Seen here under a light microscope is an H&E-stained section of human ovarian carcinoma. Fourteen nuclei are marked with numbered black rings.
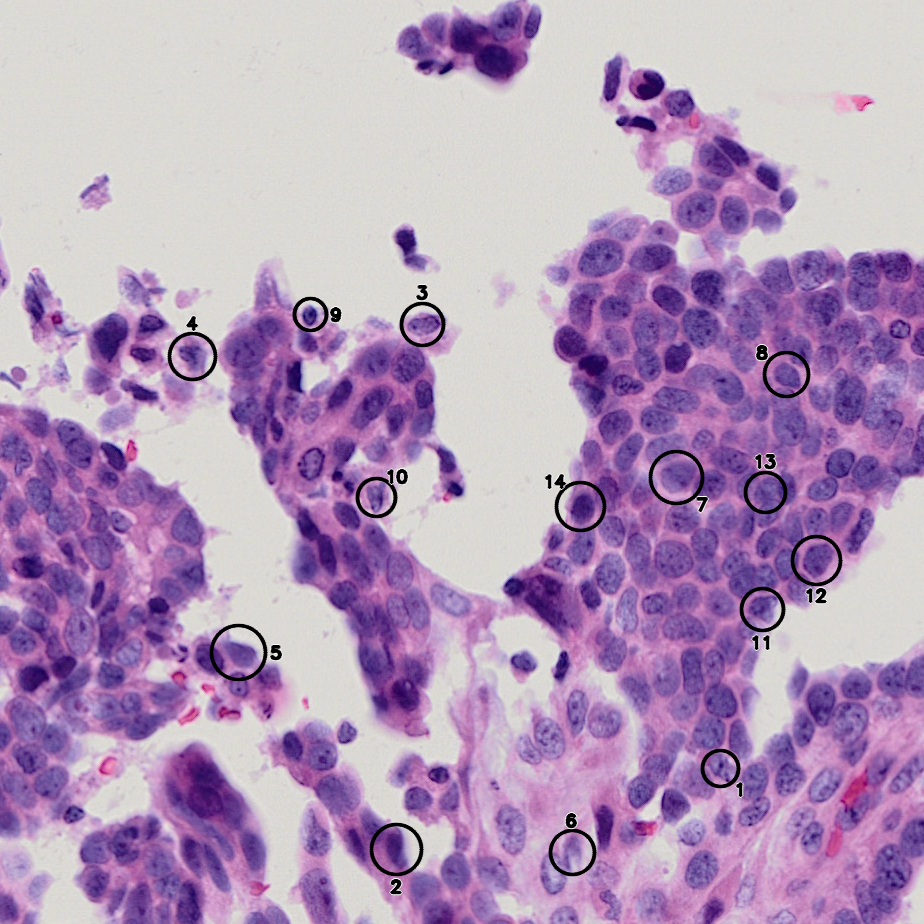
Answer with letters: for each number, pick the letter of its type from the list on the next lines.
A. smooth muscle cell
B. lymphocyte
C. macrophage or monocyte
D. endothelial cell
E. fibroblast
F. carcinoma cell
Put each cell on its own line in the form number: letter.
1: C
2: F
3: C
4: C
5: F
6: E
7: F
8: F
9: B
10: C
11: F
12: F
13: F
14: F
